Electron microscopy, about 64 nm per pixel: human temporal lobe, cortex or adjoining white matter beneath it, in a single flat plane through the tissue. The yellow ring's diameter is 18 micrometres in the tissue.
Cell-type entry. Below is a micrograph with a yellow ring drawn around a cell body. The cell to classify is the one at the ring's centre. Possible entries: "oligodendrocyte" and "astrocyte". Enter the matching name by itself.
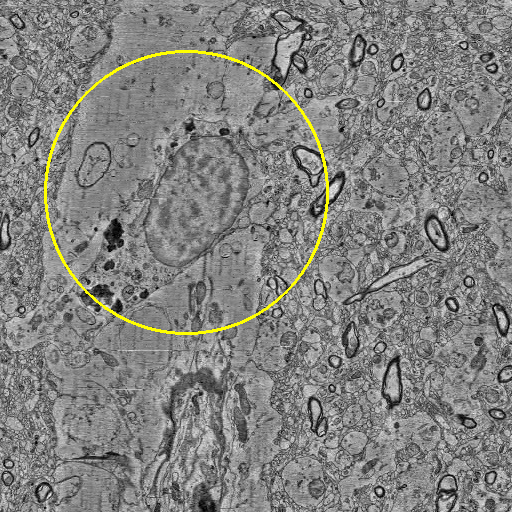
oligodendrocyte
